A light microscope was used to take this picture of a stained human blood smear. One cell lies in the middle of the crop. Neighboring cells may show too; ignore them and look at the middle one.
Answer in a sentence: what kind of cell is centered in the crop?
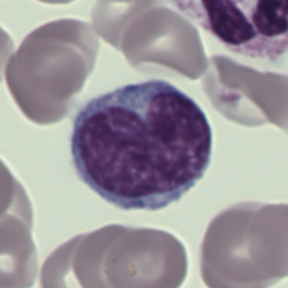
By classification, the middle cell of this crop is a monocyte.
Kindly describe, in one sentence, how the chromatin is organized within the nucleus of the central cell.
If you check the nucleus, you will find the chromatin coarsely clumped.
